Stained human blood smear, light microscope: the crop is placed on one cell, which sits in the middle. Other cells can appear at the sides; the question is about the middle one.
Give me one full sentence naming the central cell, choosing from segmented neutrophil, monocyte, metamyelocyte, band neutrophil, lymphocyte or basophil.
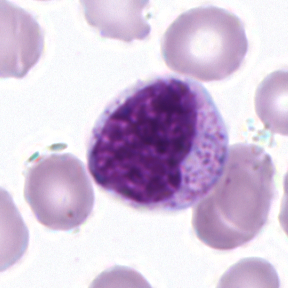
In short, the cell at the center is a metamyelocyte.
